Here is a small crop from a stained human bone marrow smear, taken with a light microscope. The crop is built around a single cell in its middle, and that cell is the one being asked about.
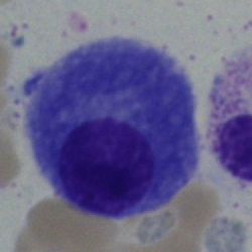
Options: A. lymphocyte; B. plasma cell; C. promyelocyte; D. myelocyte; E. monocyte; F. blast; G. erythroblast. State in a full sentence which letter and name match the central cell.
The cell occupying the centre is a plasma cell; option B is thus the correct choice.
